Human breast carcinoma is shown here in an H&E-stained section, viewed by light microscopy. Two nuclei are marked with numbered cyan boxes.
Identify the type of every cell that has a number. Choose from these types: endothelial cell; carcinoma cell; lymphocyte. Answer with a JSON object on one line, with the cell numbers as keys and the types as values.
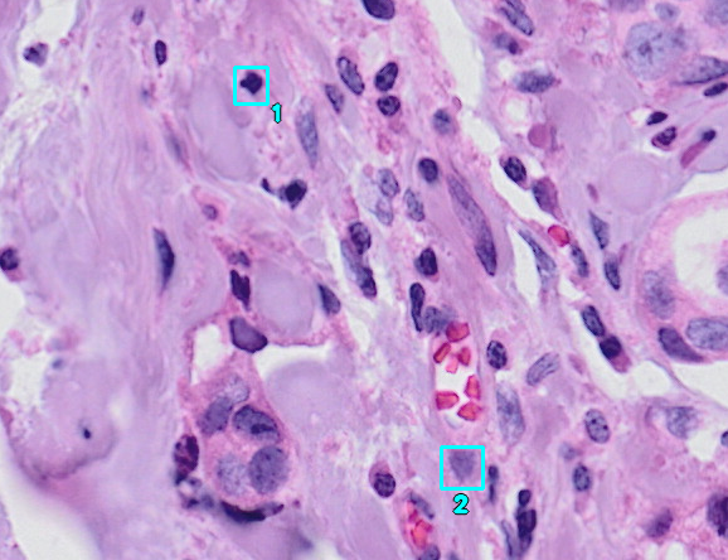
{"1": "lymphocyte", "2": "endothelial cell"}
